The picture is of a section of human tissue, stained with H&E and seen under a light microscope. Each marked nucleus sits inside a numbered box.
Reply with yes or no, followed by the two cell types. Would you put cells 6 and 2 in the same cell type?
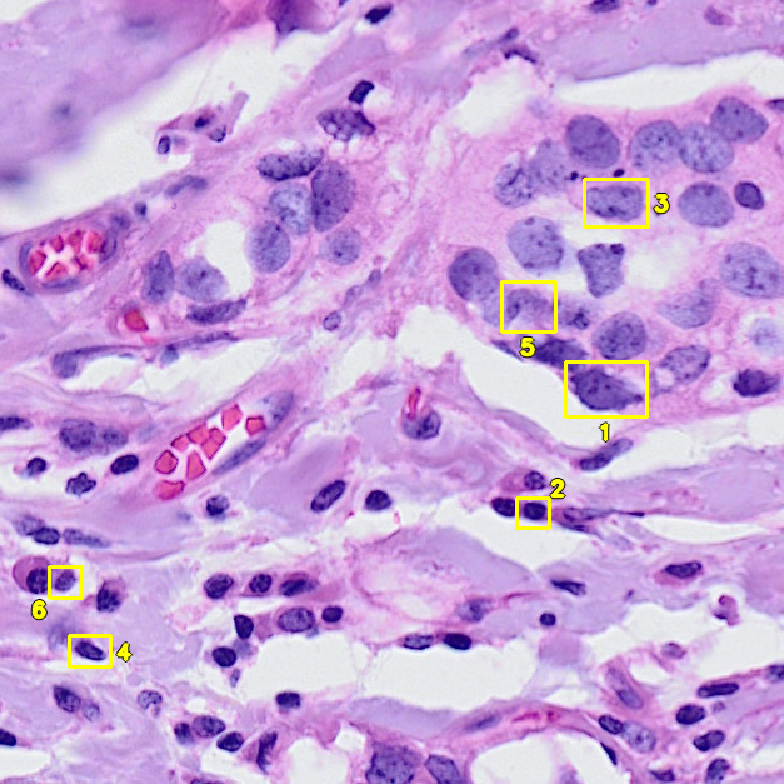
Yes, cells 6 and 2 are both recognised as lymphocytes.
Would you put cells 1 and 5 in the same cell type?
Yes, the two cells marked 1 and 5 are both carcinoma cells.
